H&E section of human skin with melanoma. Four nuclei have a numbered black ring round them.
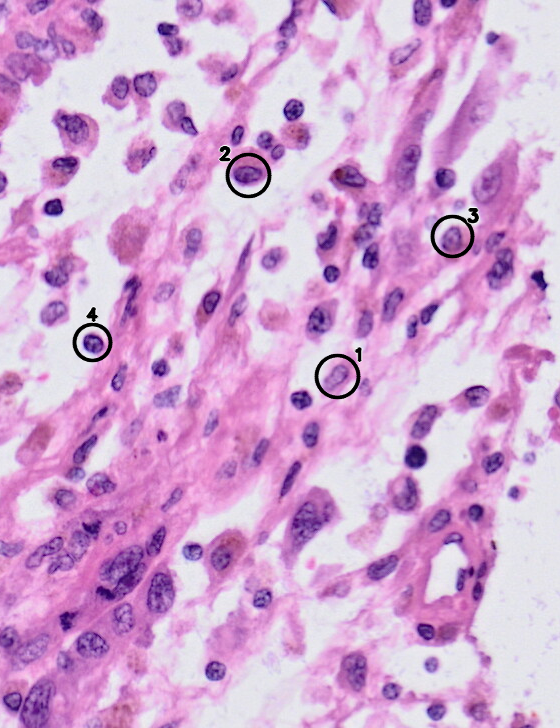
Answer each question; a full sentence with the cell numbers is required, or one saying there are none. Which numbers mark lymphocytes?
The nucleus numbered 4 is the only one that belongs to a lymphocyte.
